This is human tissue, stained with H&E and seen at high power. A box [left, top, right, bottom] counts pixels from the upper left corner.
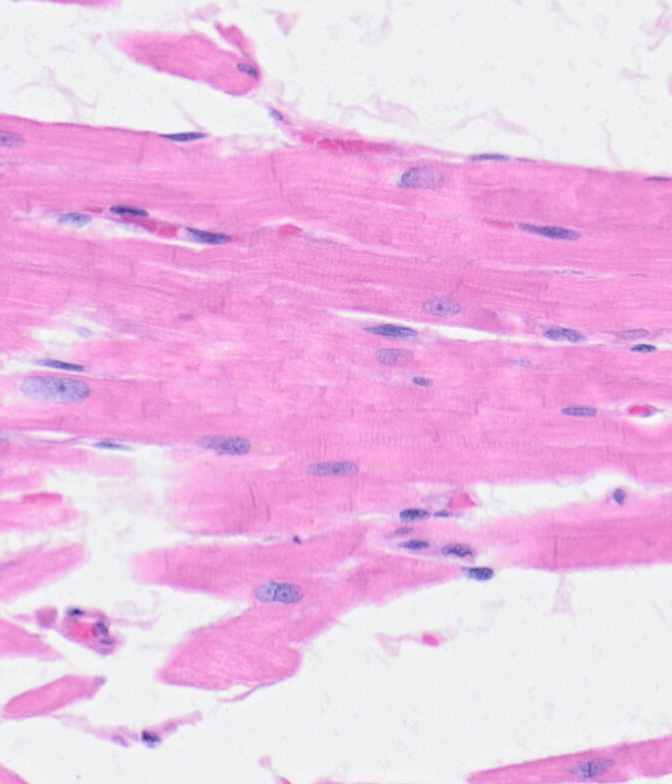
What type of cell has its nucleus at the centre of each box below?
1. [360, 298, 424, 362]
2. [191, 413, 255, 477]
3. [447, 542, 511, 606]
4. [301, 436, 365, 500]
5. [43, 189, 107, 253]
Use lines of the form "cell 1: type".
cell 1: endothelial cell
cell 2: cardiomyocyte
cell 3: fibroblast
cell 4: cardiomyocyte
cell 5: fibroblast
